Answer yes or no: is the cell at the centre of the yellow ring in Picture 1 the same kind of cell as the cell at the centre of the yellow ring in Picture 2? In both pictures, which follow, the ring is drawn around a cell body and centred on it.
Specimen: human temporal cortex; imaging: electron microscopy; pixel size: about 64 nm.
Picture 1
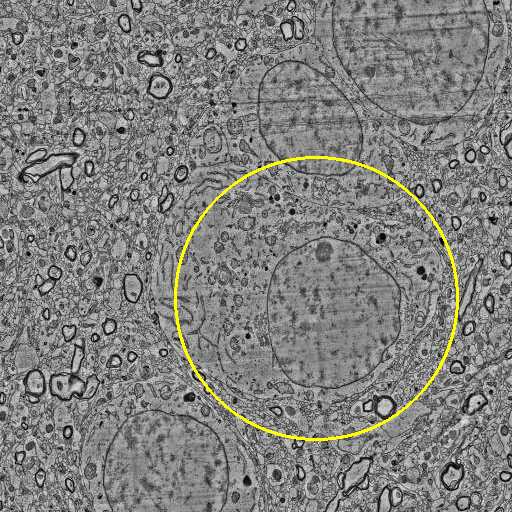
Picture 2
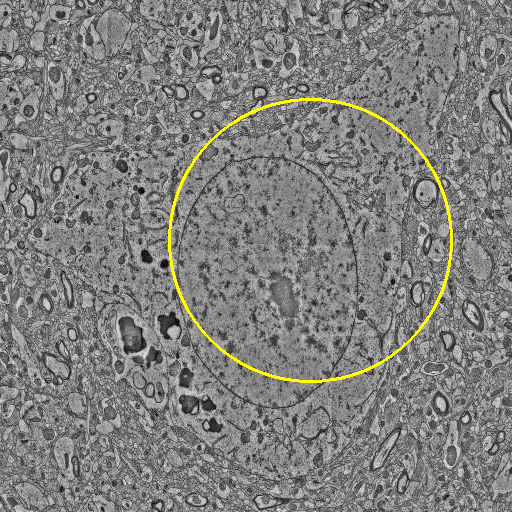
yes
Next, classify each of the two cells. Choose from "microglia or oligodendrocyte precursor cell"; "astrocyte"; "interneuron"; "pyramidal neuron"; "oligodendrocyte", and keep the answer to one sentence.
The cell at the ring centre is a pyramidal neuron in both pictures.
